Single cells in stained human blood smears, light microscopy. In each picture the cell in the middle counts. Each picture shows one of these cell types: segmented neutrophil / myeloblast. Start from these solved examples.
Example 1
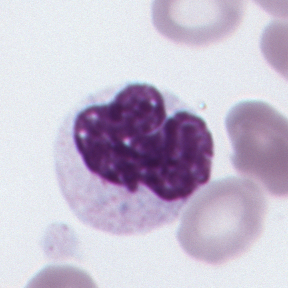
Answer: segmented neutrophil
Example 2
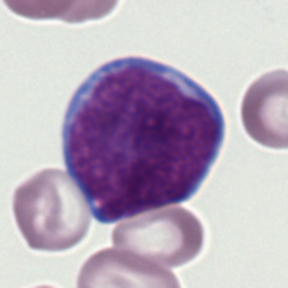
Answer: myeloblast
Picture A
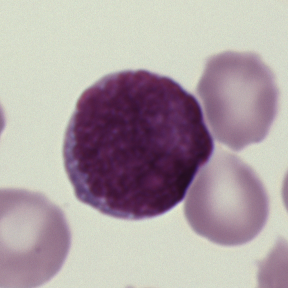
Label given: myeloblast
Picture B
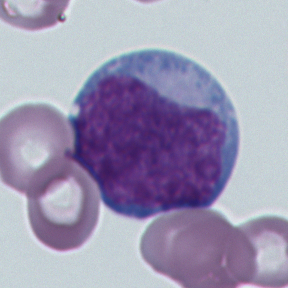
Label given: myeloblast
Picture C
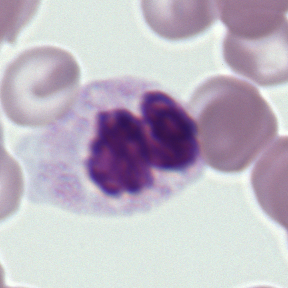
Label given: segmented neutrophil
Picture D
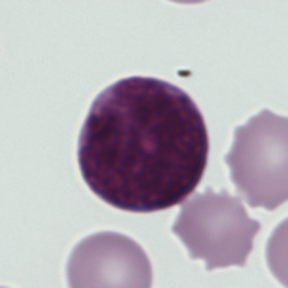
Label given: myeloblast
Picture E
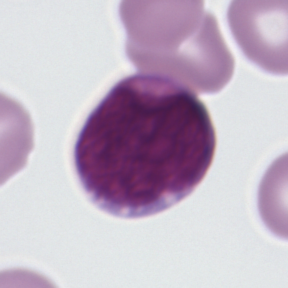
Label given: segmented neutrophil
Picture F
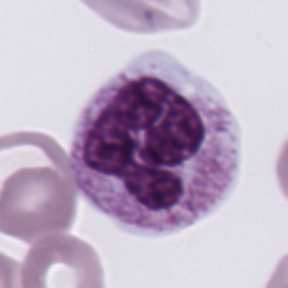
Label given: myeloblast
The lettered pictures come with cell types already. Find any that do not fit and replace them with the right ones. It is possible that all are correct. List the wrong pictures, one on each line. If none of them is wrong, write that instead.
Wrong: E (segmented neutrophil); correct: myeloblast
Wrong: F (myeloblast); correct: segmented neutrophil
